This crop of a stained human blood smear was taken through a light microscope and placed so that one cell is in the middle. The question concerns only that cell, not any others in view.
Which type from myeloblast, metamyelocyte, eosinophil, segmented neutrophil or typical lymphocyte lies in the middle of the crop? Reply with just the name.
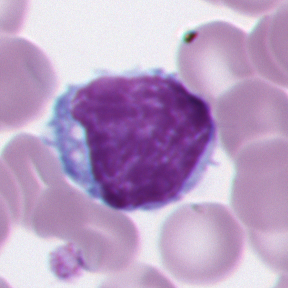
typical lymphocyte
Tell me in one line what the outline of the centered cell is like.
The periphery of this cell is uneven, with ragged portions or projections.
